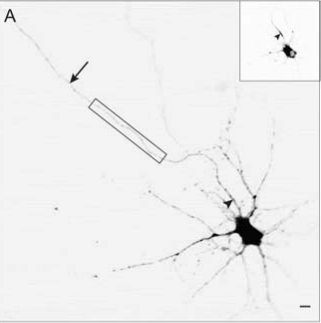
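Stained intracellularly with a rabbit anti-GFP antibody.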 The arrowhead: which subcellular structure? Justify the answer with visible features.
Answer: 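The arrowhead marks the proximal part of a process close to the cell body. This process continues into the long thin process running toward the upper left.
Hence: axon initial segment.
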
